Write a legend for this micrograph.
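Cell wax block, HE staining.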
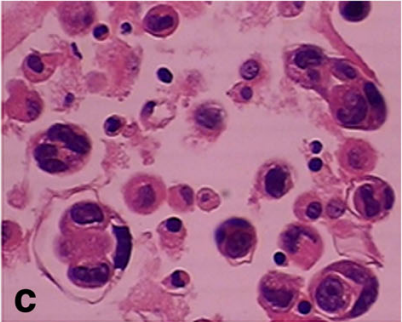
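Large tumour cells lie scattered singly and in small groups among smaller cells on a pale background. The tumour cells have abundant pink cytoplasm and big round to irregular nuclei, several with large, prominent nucleoli; some groups contain two or more nuclei pressed together. Some cell groups are surrounded by a thin clear rim or membrane-like edge, giving them a rounded, encapsulated look. Between them lie small round cells with dense dark nuclei and scant cytoplasm, and pale pink granular debris.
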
